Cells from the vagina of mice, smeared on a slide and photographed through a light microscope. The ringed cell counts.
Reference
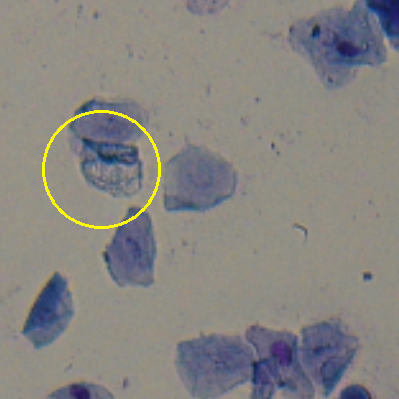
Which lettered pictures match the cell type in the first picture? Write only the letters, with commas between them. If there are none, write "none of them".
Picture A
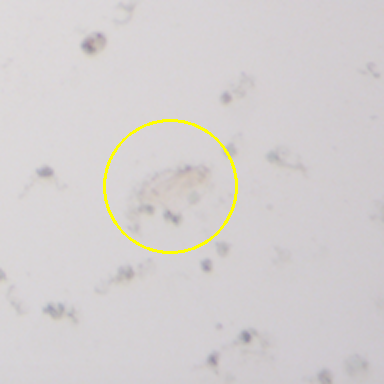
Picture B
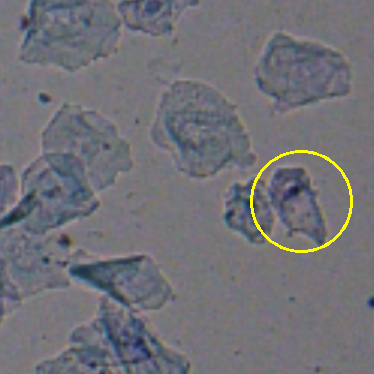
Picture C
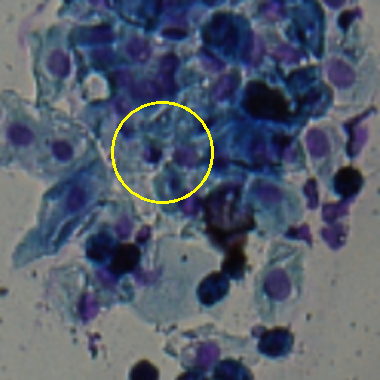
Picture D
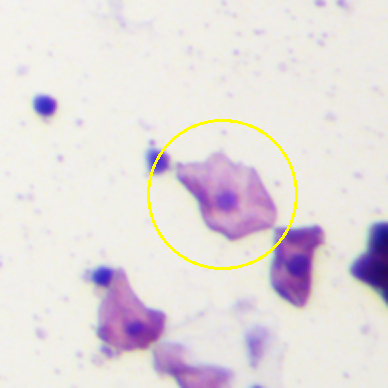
A, B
